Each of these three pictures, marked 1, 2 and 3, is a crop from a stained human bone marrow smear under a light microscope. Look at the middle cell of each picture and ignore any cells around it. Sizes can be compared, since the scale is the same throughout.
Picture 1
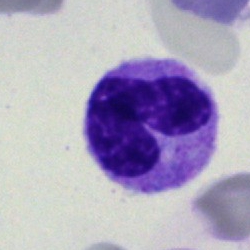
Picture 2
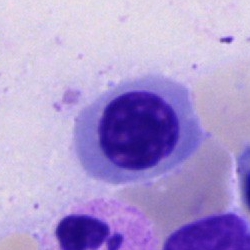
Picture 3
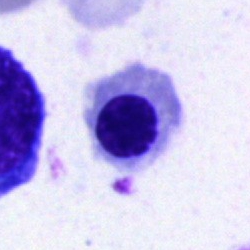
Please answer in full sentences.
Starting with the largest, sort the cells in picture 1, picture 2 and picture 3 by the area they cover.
The order is 1, 2, 3, beginning with the largest.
